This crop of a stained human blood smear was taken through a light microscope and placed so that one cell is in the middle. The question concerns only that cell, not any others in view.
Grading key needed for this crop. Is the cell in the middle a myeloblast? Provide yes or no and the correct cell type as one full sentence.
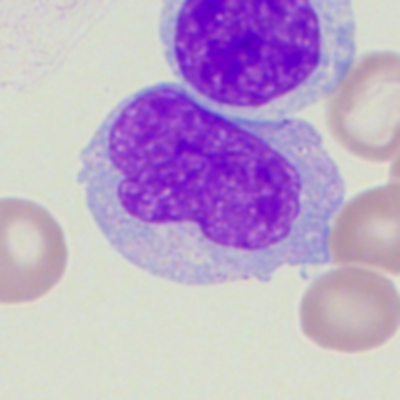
No, that is not a myeloblast; the middle cell is a monocyte.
